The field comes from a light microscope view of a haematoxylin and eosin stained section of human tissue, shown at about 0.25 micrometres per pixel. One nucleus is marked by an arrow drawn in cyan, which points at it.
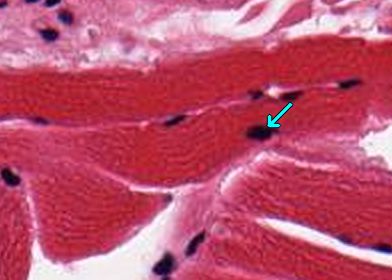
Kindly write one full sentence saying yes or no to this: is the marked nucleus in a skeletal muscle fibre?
Yes, the marked nucleus is identified as that of a skeletal muscle fibre.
